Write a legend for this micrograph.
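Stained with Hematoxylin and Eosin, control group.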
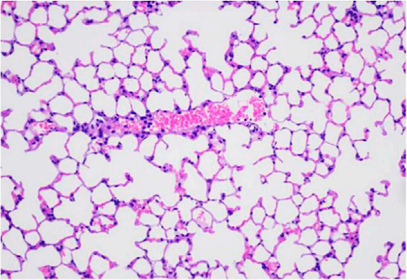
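This section of lung tissue shows a fine meshwork of many small, empty alveolar air spaces separated by thin, delicate septa. The septa are pink with scattered small purple nuclei and are mostly only one or a few cells thick. A blood vessel packed with pink-red erythrocytes runs horizontally through the centre of the field, with a narrow cuff of nucleated cells along its wall. The air spaces are open and contain no visible cells or pink fluid.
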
